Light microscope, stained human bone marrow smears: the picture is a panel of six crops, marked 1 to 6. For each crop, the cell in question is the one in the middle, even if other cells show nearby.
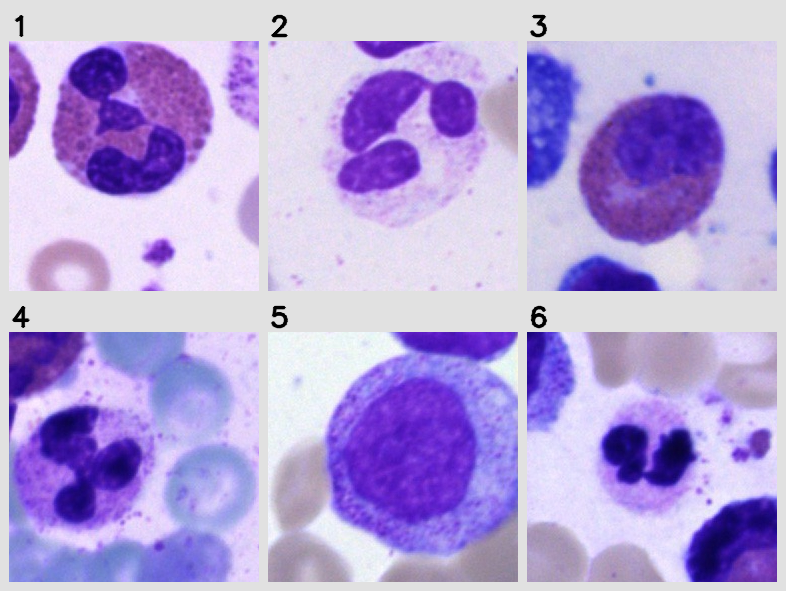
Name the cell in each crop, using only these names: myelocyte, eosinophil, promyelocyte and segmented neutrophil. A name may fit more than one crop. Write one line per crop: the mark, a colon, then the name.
1: eosinophil
2: segmented neutrophil
3: eosinophil
4: segmented neutrophil
5: myelocyte
6: segmented neutrophil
